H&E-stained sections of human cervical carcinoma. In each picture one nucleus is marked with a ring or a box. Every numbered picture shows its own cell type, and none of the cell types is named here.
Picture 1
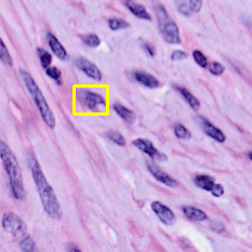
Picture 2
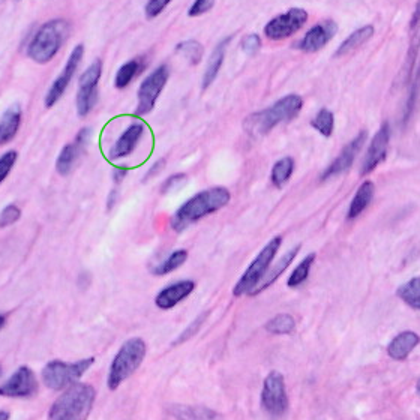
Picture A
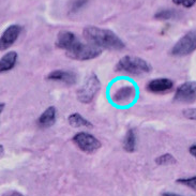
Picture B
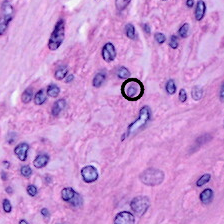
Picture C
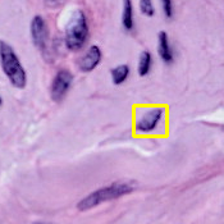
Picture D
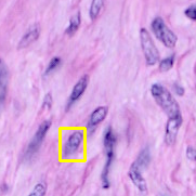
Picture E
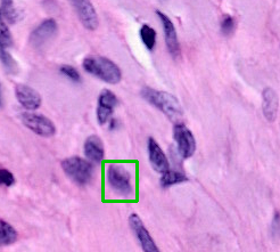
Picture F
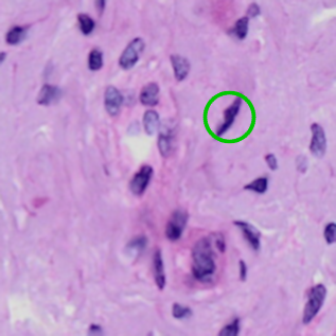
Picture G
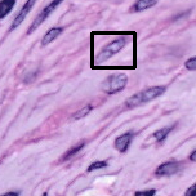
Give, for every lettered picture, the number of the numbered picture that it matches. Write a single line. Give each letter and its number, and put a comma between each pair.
A 2, B 1, C 2, D 1, E 2, F 2, G 1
